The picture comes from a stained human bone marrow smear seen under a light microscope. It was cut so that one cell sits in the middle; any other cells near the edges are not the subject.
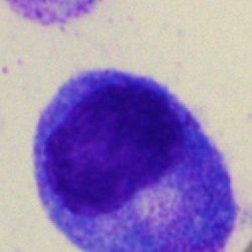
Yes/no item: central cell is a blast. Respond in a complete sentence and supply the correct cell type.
No, the cell in the middle is a promyelocyte; it is not a blast.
